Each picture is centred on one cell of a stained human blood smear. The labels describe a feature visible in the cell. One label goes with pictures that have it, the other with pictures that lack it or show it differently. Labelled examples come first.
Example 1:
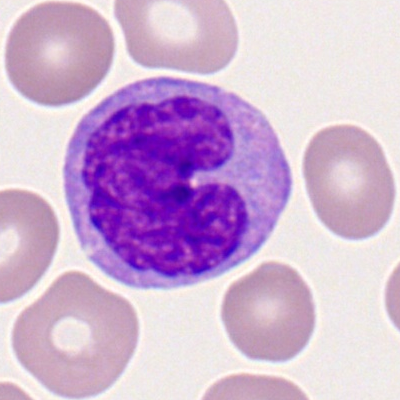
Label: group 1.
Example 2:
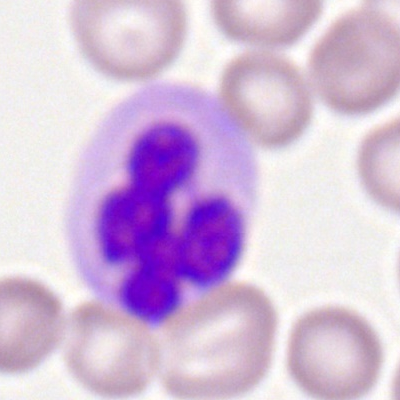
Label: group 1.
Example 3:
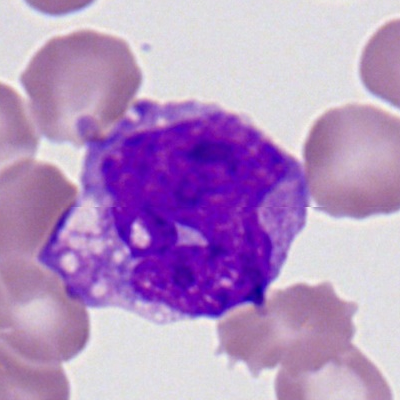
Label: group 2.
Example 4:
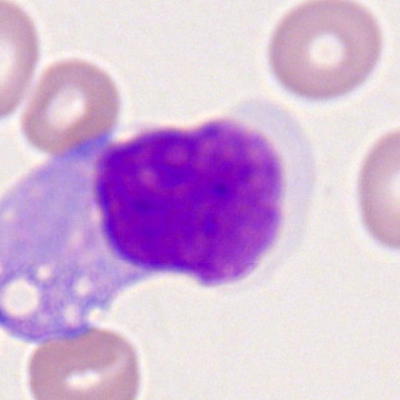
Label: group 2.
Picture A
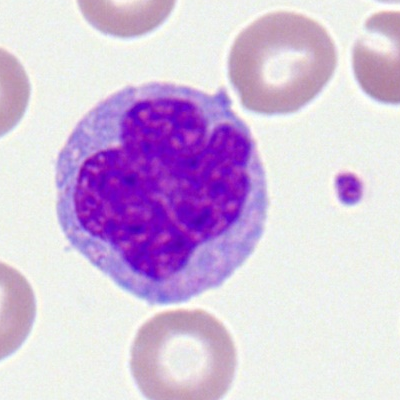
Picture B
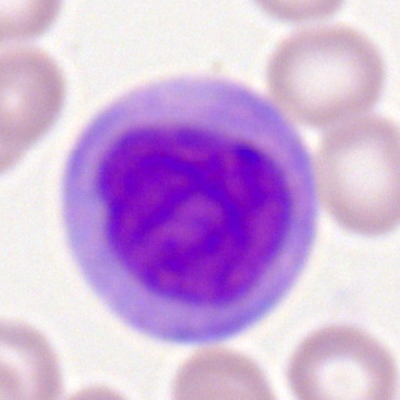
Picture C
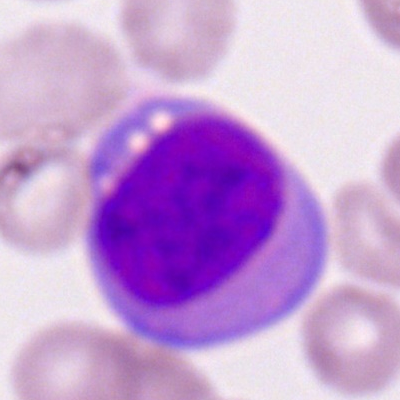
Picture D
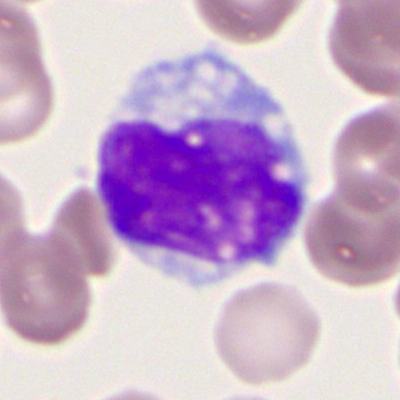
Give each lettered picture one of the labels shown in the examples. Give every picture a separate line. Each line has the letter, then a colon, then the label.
A: group 1.
B: group 1.
C: group 2.
D: group 2.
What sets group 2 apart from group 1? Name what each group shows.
In group 2: vacuoles present. In group 1: no vacuoles.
